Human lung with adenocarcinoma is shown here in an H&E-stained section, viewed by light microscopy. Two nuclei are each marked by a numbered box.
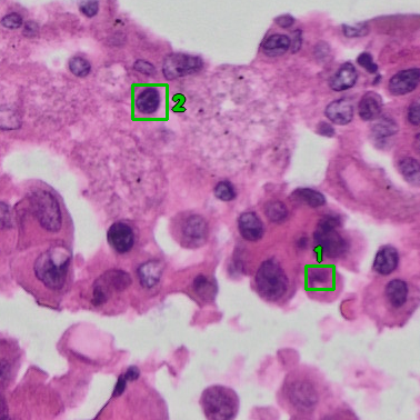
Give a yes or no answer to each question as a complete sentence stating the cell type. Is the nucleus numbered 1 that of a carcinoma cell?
Yes, the cell with the number 1 is a carcinoma cell.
